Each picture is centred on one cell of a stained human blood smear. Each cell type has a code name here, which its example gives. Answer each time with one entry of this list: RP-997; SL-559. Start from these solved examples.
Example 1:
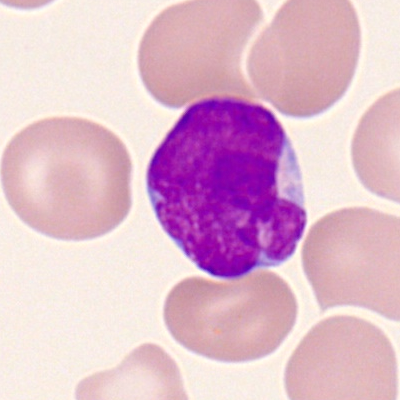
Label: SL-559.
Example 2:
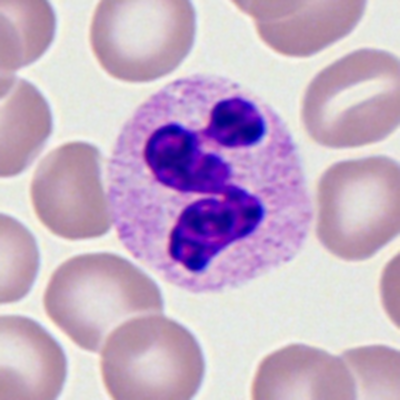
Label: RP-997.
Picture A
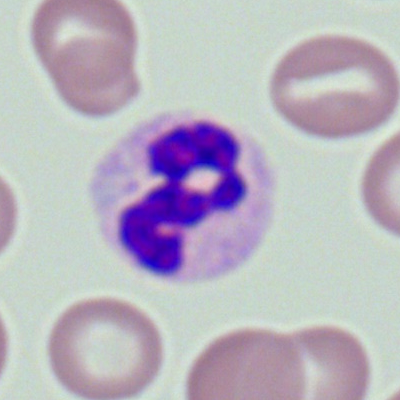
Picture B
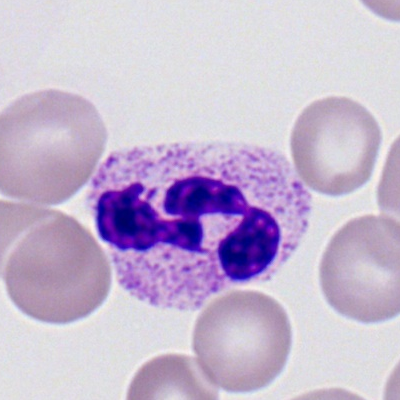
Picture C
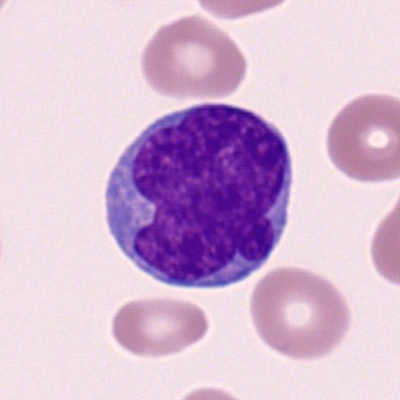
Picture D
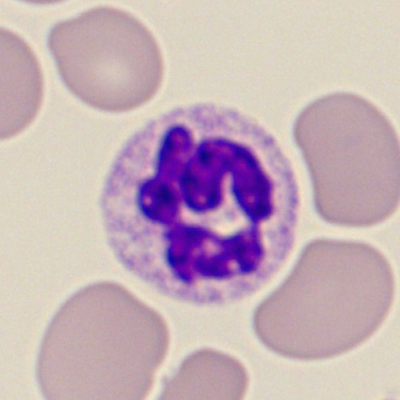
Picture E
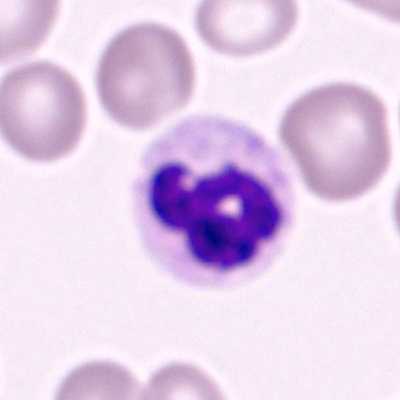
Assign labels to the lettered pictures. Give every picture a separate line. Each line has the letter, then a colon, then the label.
A: RP-997.
B: RP-997.
C: SL-559.
D: RP-997.
E: RP-997.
